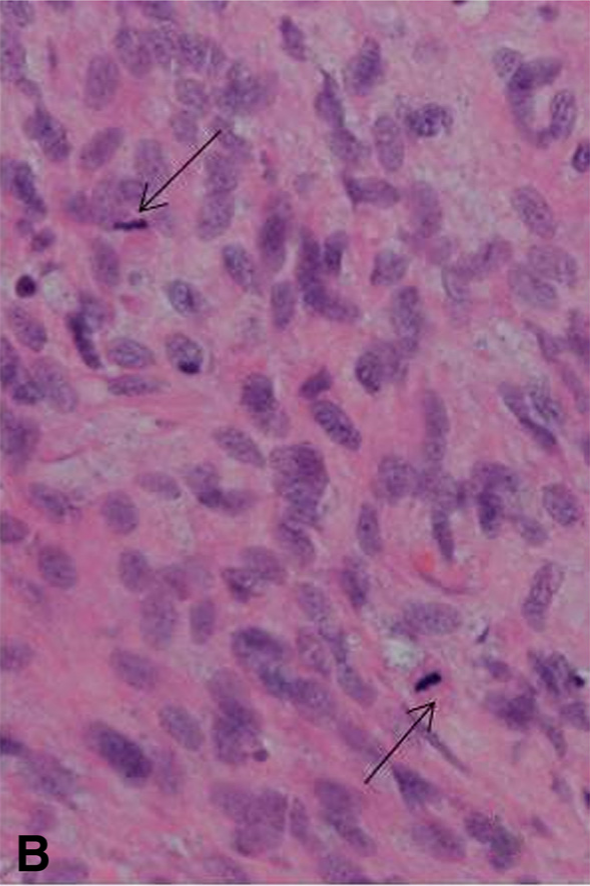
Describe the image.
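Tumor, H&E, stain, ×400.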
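The nuclei vary somewhat in size and shape and lie crowded together, some overlapping. Two cells stand out because their chromatin is condensed into dense, dark, bar-like clumps, and the arrows mark these as dividing cells.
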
